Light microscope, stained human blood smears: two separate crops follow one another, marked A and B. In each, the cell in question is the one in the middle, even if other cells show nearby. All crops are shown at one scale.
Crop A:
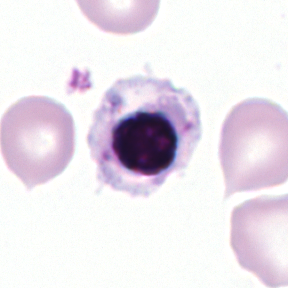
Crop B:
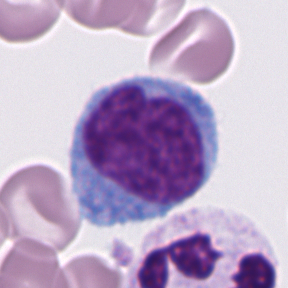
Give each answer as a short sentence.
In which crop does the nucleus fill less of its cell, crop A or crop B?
In crop A the nucleus takes up the smaller part of its cell.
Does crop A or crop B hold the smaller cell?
Smaller is the cell in crop A, and the other is about 1.5 times as large in area.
